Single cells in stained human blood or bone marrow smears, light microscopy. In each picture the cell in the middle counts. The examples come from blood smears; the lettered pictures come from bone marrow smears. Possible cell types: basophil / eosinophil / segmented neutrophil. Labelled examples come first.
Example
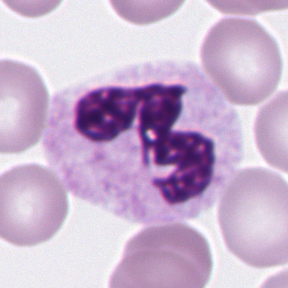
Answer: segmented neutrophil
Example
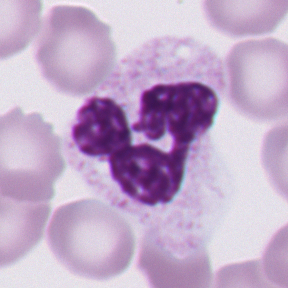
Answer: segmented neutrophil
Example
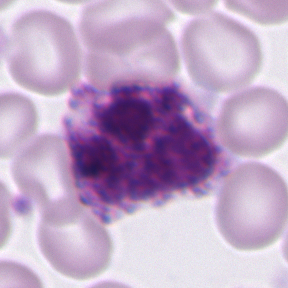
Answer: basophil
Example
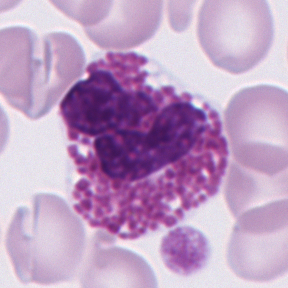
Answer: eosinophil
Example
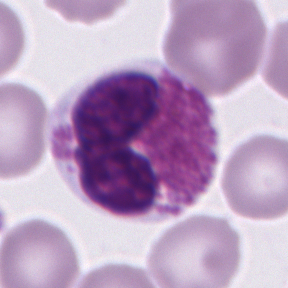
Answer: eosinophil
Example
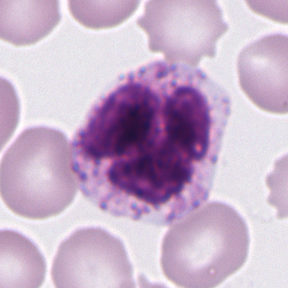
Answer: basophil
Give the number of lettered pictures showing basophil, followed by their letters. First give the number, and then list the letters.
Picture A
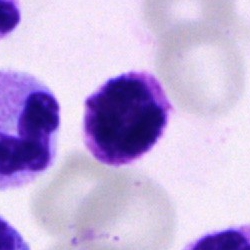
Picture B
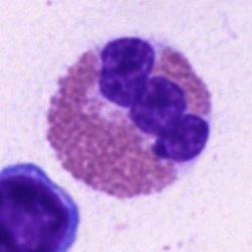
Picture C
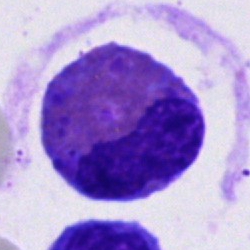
1: A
